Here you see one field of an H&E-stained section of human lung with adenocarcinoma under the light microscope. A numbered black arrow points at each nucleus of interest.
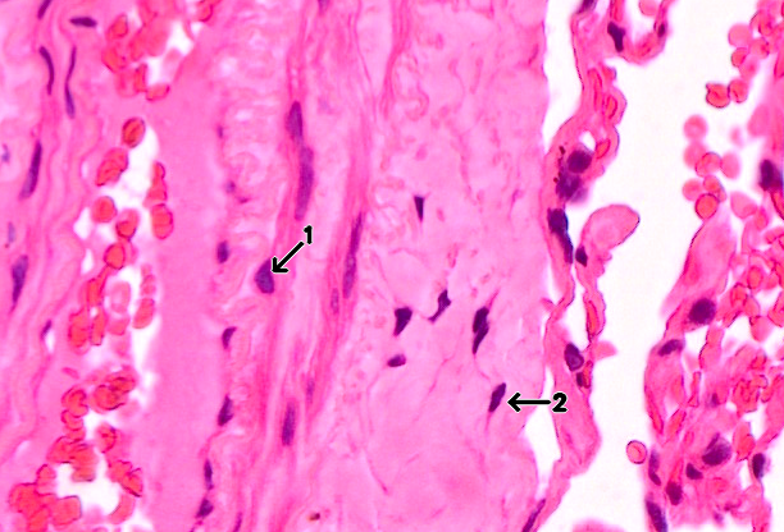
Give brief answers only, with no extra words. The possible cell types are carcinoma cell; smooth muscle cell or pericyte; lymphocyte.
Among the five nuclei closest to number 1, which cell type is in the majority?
smooth muscle cell or pericyte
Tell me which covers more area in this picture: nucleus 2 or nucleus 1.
1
